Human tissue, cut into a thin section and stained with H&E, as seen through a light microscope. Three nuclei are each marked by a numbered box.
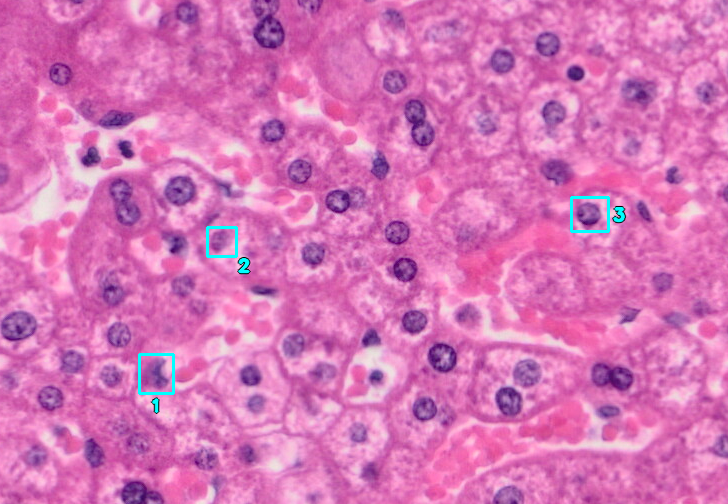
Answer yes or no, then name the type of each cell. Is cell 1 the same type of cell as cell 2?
No, the cell marked 1 is an endothelial cell, and the cell marked 2 is a hepatocyte.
